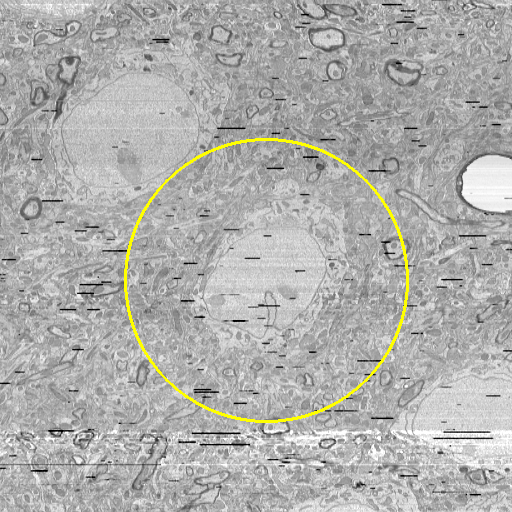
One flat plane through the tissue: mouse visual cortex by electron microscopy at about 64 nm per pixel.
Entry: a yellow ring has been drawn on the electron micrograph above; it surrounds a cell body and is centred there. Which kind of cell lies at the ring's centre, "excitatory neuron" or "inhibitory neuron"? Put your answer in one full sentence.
The cell sitting at the ring's centre is an excitatory neuron in the micrograph above.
